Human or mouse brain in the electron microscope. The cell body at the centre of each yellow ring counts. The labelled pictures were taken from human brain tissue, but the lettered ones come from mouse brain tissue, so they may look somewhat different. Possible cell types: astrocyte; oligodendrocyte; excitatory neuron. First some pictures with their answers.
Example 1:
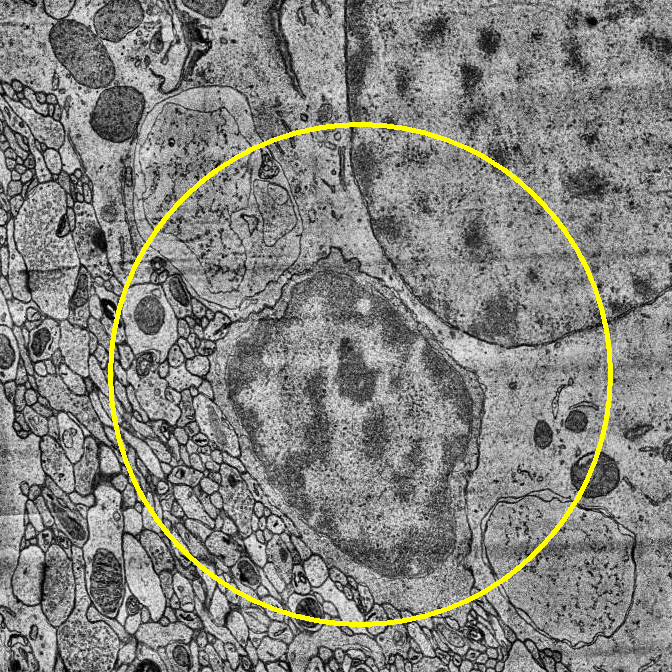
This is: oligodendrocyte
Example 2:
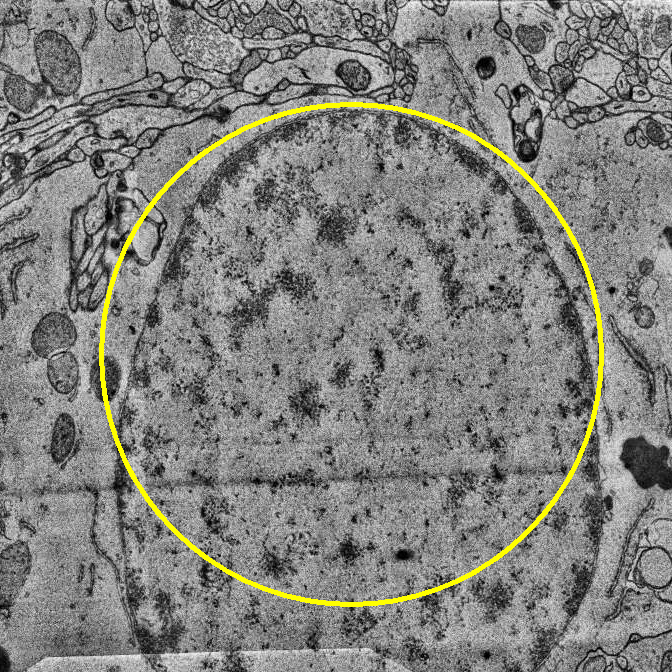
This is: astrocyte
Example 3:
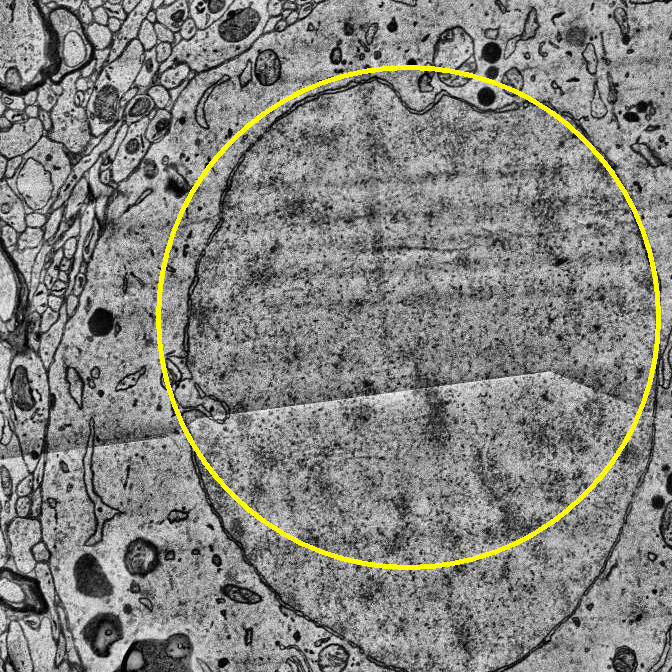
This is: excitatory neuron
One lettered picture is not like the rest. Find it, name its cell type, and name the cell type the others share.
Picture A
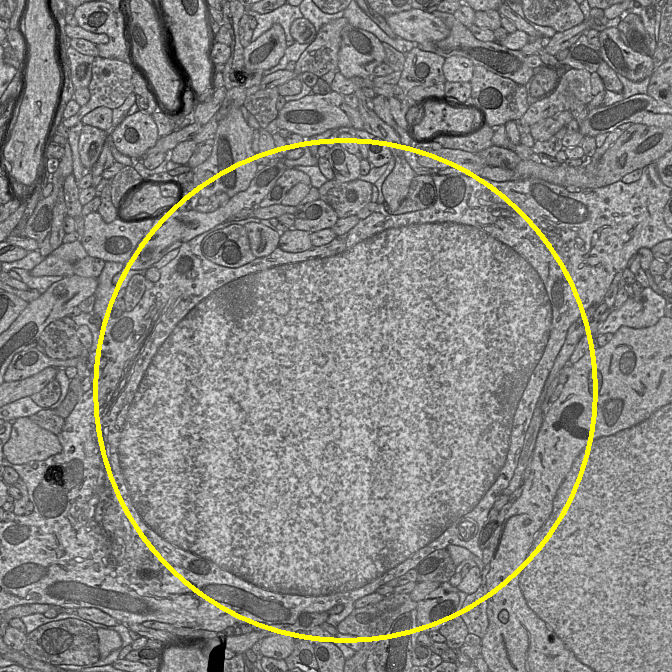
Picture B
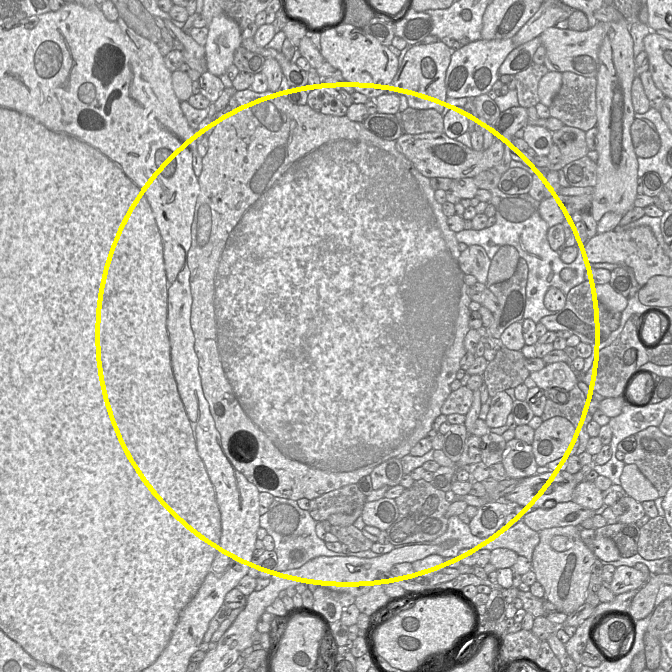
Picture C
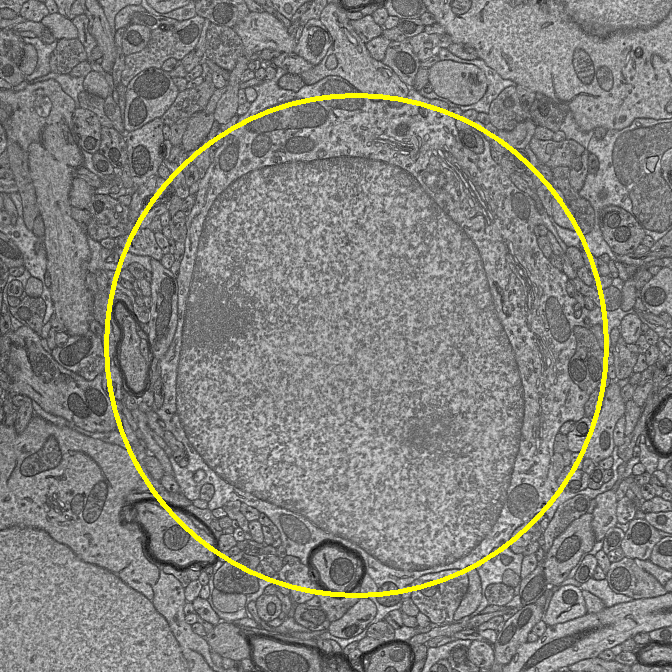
B differs and shows oligodendrocyte; the others show astrocyte.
